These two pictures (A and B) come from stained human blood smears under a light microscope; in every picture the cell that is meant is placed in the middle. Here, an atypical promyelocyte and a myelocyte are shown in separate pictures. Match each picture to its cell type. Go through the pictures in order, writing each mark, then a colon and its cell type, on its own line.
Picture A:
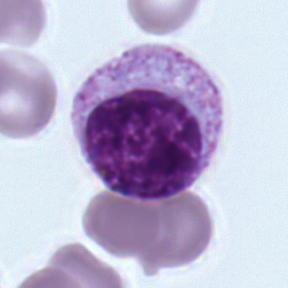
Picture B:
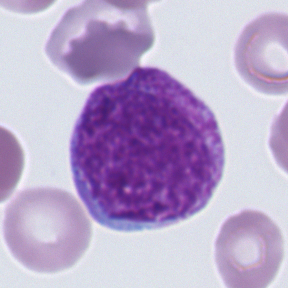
A: myelocyte
B: atypical promyelocyte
